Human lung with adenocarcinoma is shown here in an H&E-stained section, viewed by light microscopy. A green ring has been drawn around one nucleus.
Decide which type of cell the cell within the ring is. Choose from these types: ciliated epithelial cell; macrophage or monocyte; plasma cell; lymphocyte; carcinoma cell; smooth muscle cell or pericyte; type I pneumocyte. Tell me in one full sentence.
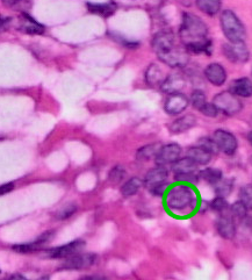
Considered by cell type, the cell within the ring is a ciliated epithelial cell.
